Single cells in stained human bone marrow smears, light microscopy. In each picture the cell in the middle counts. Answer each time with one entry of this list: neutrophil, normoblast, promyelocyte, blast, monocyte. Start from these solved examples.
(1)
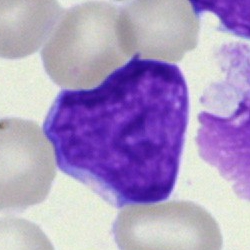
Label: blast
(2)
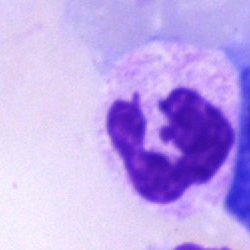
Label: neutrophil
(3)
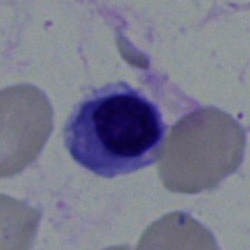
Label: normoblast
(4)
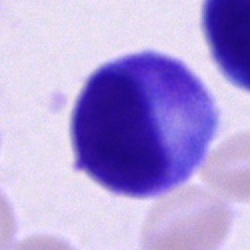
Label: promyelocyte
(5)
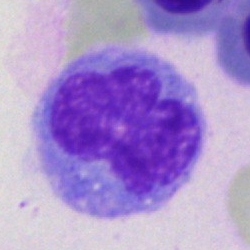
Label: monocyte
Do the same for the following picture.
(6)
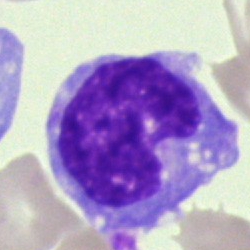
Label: monocyte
